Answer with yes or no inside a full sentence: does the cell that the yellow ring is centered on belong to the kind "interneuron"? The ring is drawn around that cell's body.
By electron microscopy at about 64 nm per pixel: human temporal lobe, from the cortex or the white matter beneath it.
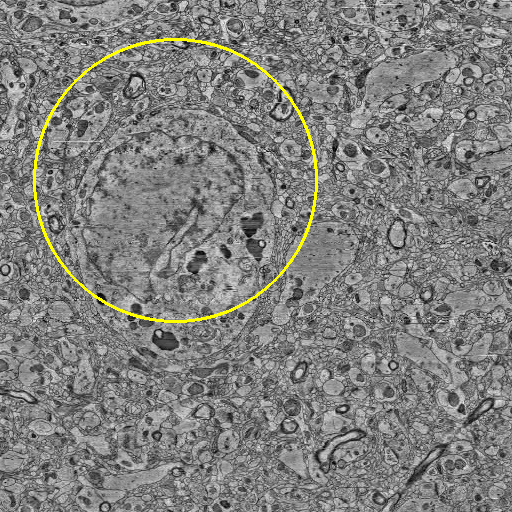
Yes, that kind describes the cell the yellow ring is centered on in the picture.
